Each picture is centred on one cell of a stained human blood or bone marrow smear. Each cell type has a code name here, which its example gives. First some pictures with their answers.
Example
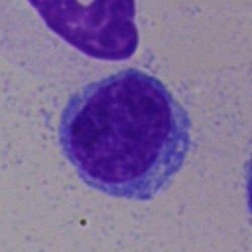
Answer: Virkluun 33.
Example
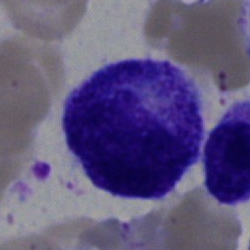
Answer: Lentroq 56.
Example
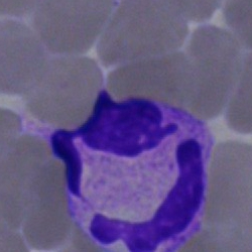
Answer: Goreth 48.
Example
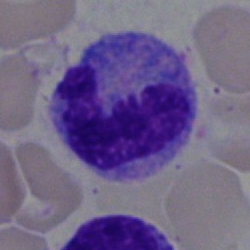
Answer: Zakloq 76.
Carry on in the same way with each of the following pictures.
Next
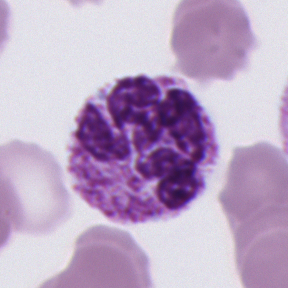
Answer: Goreth 48.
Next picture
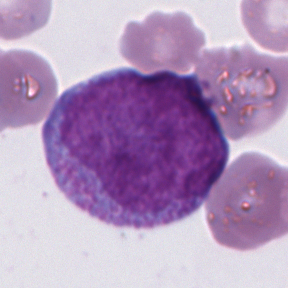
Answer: Lentroq 56.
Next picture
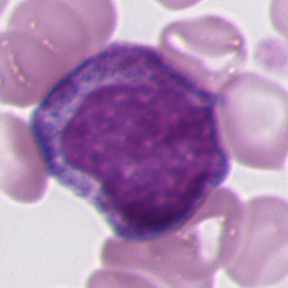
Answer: Lentroq 56.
